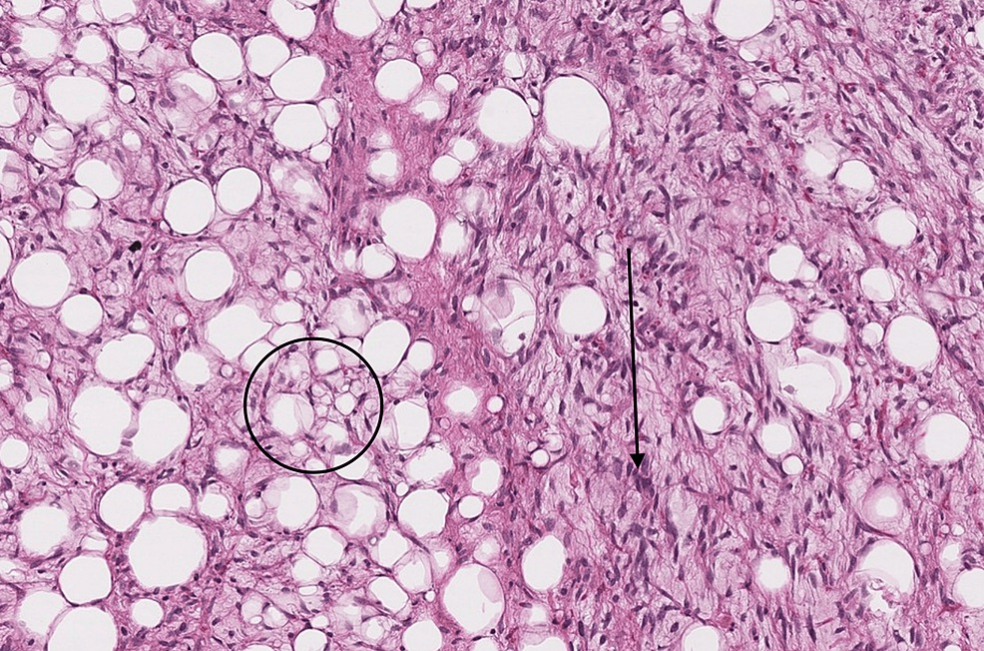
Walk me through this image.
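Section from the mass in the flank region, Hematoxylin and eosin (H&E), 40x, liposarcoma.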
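Tumour tissue stained pink and purple shows many immature fat cells, which appear as clear, round vacuoles of very different sizes. Some cells hold several small vacuoles rather than one large one. Thin pink septa surround the vacuoles, with small dark nuclei at their edges. Between the vacuoles runs loose, pale pink, wispy connective tissue. It holds scattered spindle-shaped and stellate cells with elongated, dark purple nuclei. The vacuoles are most crowded on the left. Toward the right, the stroma is looser and more cellular, with fewer and smaller vacuoles.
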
